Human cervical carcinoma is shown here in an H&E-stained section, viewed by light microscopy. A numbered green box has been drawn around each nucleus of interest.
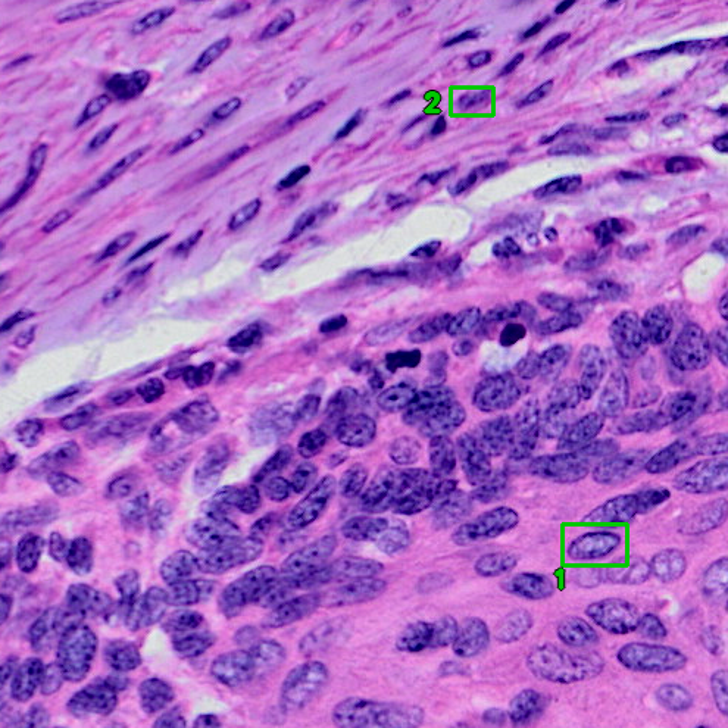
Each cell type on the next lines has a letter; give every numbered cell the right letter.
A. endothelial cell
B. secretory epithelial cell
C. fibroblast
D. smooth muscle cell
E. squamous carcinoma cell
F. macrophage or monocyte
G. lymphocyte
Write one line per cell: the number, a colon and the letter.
1: E
2: D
